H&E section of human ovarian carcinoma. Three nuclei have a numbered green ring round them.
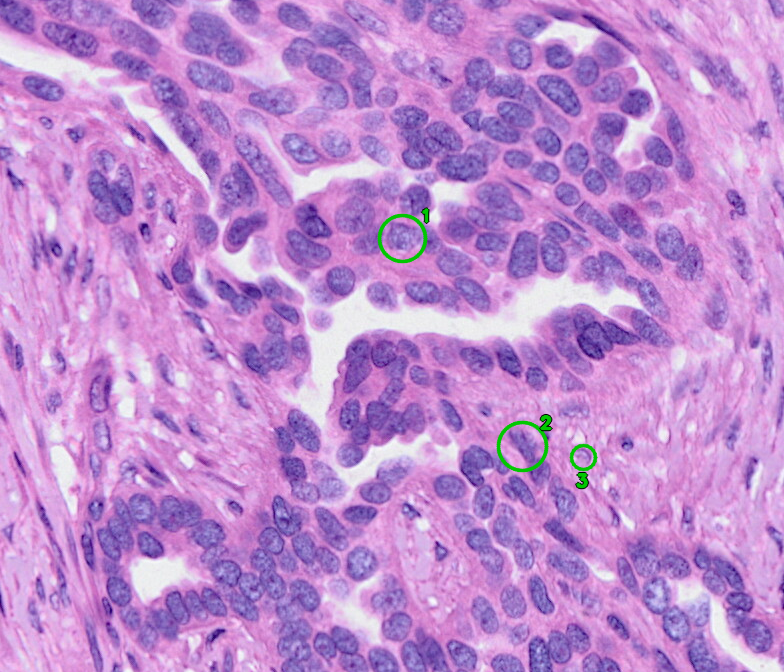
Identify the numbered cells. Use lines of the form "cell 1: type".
cell 1: carcinoma cell
cell 2: fibroblast
cell 3: fibroblast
